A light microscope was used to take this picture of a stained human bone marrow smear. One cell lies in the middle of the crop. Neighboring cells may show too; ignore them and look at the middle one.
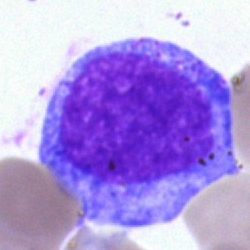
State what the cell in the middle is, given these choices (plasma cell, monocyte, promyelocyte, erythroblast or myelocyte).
promyelocyte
